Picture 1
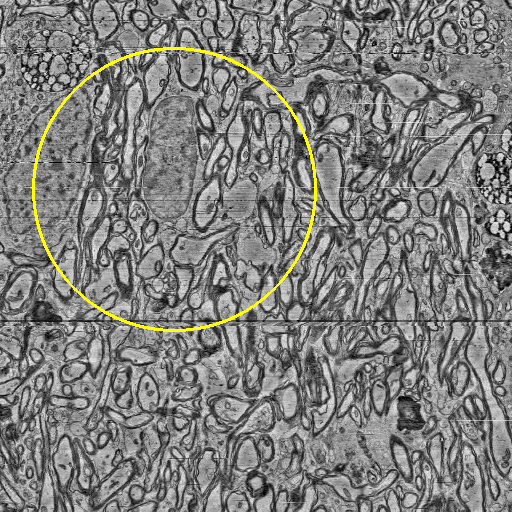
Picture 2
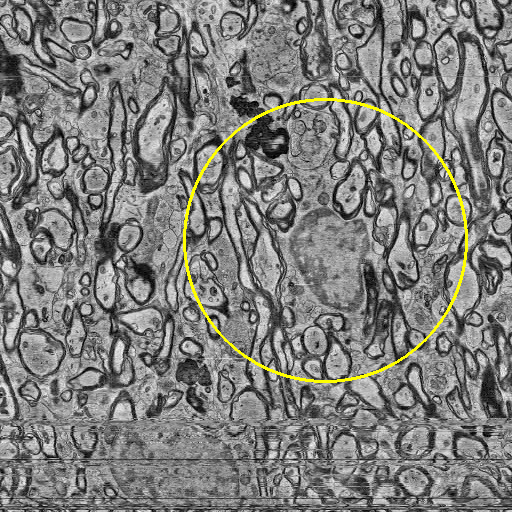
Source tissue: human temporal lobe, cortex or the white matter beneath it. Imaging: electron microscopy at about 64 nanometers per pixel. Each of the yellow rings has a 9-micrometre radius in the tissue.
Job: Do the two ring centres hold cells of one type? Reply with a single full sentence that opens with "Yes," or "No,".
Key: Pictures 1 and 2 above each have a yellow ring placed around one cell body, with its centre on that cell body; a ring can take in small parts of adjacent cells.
Yes, the cells at the two ring centres are of one single type.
